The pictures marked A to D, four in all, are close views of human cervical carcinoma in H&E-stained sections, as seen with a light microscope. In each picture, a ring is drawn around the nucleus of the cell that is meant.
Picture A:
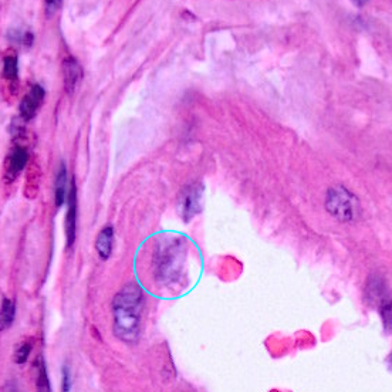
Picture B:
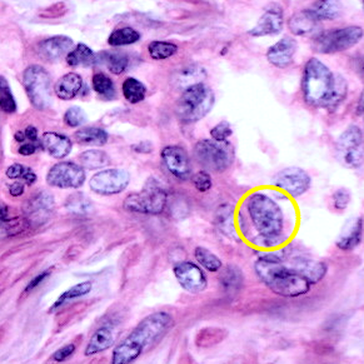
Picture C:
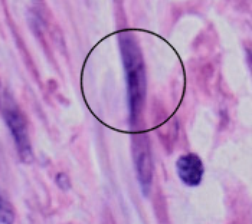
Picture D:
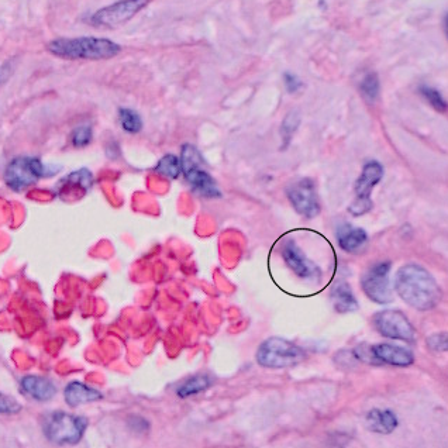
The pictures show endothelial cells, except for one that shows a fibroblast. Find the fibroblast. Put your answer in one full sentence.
The cell in picture C is the fibroblast.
